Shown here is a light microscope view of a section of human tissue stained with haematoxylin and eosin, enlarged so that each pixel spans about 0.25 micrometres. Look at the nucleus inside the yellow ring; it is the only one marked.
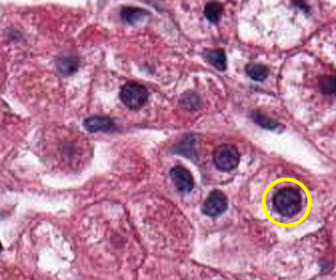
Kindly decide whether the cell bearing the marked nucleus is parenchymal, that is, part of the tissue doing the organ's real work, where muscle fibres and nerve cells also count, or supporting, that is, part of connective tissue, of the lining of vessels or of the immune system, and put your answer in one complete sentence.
It is to an adrenal cortical cell, a parenchymal cell, that the marked nucleus belongs.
